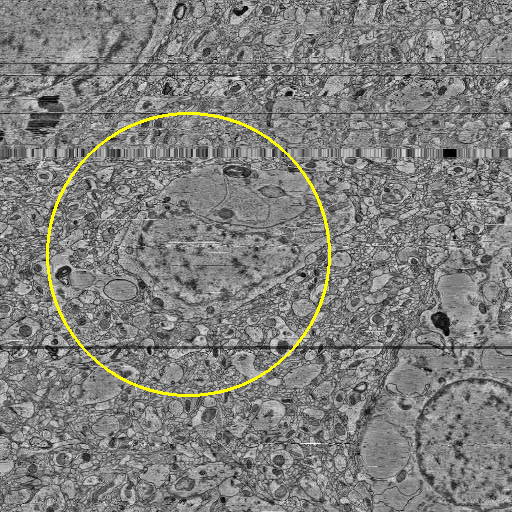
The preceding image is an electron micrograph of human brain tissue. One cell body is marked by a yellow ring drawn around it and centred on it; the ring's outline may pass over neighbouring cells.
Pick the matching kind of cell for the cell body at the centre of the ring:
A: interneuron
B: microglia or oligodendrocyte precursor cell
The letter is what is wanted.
A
